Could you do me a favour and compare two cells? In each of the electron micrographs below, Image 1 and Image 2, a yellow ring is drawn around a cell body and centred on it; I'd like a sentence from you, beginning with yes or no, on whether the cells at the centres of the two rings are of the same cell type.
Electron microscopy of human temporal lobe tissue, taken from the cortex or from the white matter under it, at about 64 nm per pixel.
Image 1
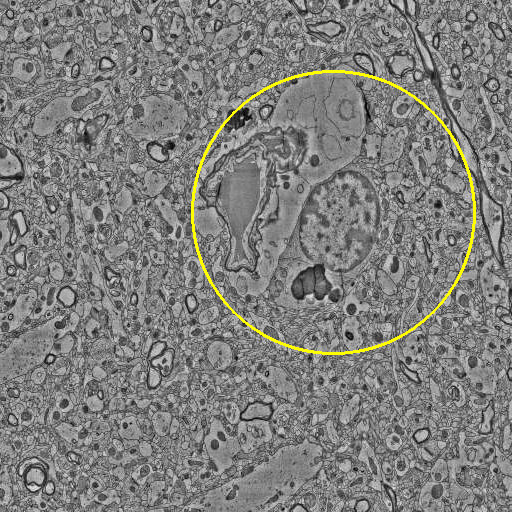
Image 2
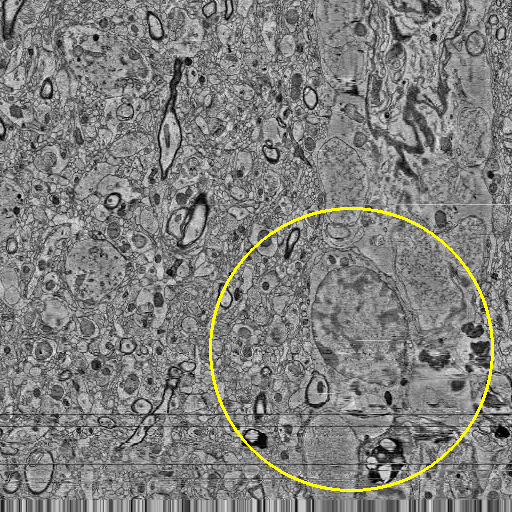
Yes, the two cells are of the same cell type.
